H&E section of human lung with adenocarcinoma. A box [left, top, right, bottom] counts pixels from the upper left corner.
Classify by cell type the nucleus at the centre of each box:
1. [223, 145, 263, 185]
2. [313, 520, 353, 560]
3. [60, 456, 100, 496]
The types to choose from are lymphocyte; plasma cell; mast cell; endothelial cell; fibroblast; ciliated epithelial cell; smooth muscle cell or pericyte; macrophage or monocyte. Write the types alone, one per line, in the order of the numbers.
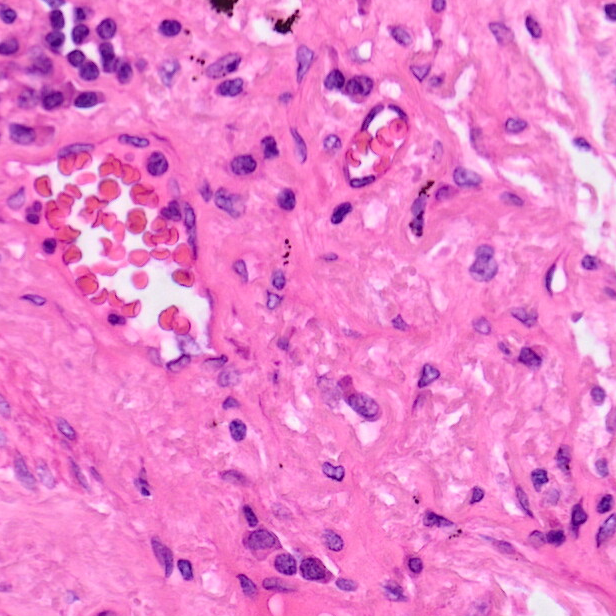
plasma cell
mast cell
smooth muscle cell or pericyte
